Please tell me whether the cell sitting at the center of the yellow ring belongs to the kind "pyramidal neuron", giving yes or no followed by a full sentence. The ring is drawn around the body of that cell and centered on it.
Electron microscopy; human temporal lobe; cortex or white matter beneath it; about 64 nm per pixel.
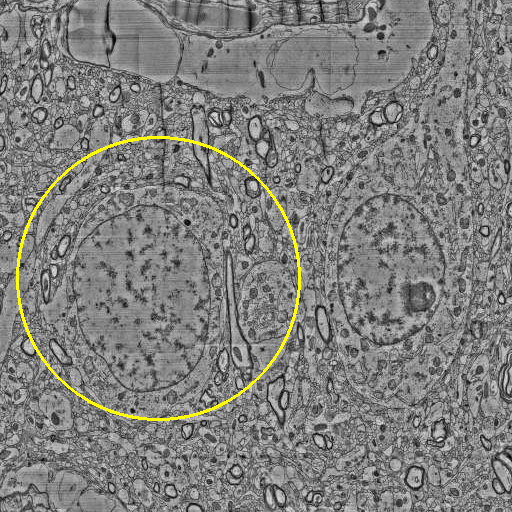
Yes, the cell at the center of the ring in the picture is of that kind.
